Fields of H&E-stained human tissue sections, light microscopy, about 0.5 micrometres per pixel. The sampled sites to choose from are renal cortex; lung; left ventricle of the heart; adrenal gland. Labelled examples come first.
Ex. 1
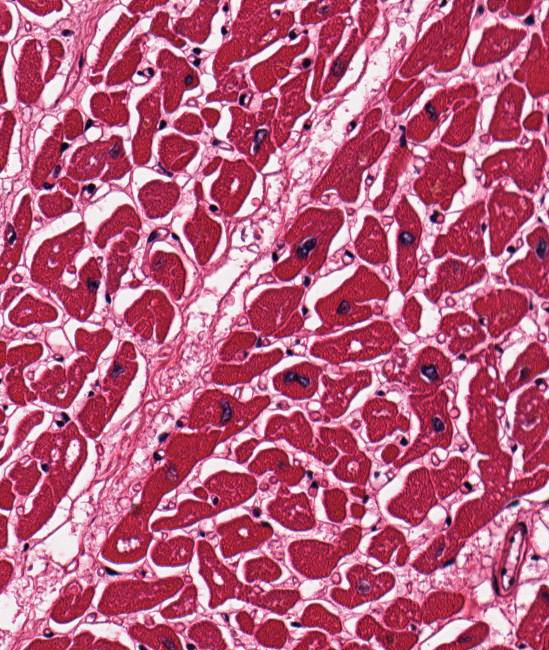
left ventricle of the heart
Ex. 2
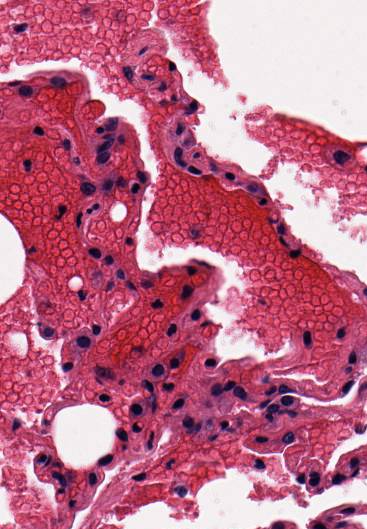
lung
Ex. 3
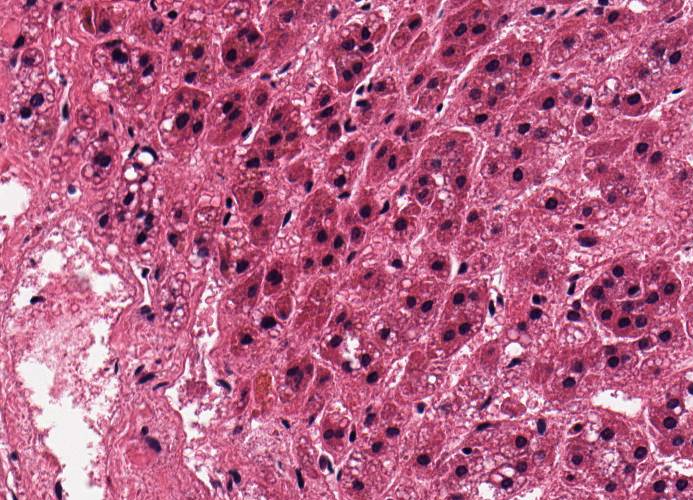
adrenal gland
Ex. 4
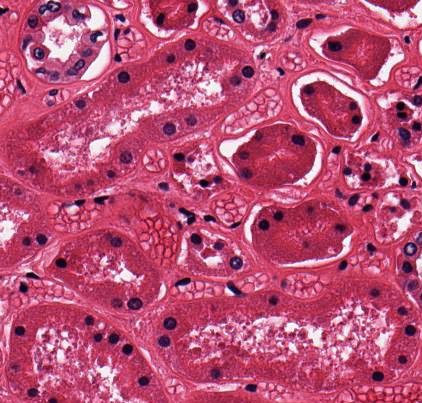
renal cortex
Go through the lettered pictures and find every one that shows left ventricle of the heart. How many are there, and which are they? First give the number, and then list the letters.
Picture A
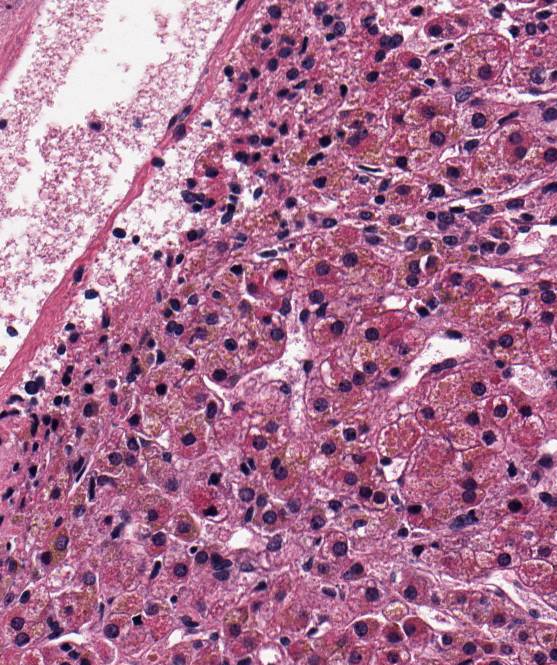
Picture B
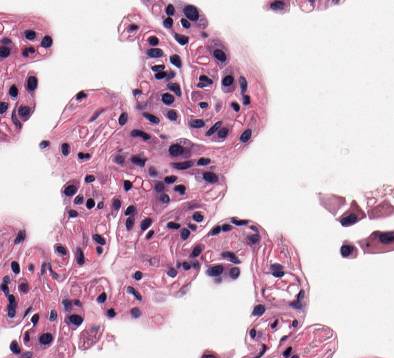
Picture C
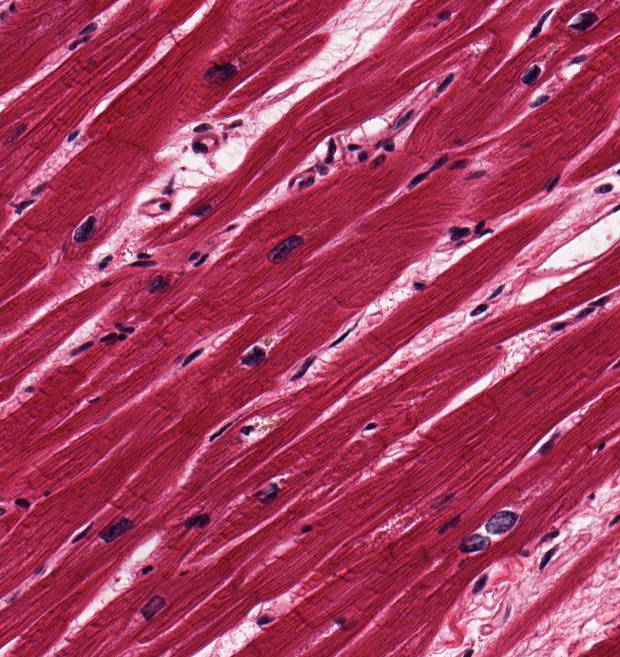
1: C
